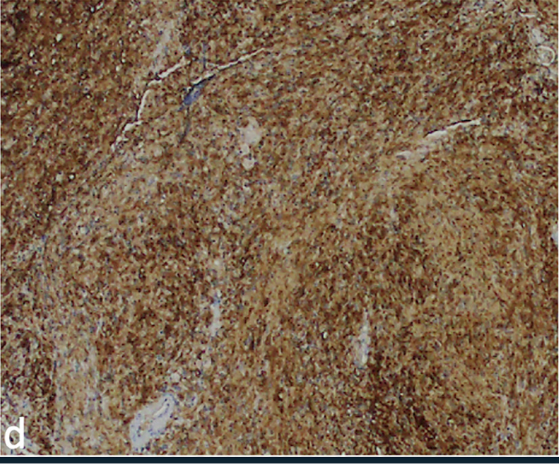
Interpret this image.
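This is a cellular tumour in which the tumour cells are diffusely and strongly stained brown throughout the section. Only thin strands of intervening tissue and small vessel walls remain pale or bluish, while the densely packed tumour cells form sweeping brown sheets.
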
